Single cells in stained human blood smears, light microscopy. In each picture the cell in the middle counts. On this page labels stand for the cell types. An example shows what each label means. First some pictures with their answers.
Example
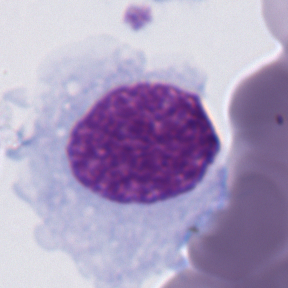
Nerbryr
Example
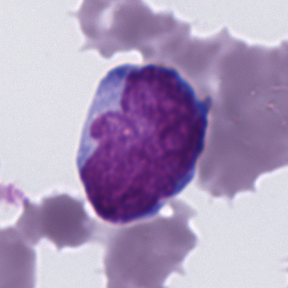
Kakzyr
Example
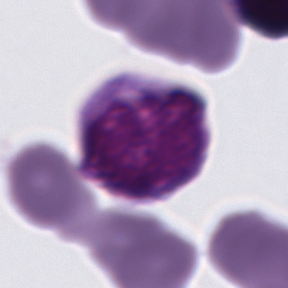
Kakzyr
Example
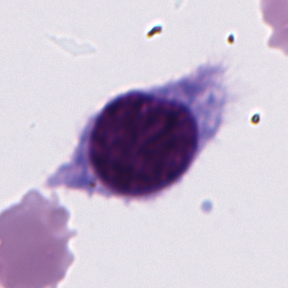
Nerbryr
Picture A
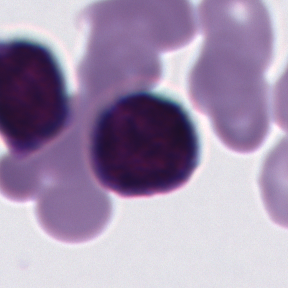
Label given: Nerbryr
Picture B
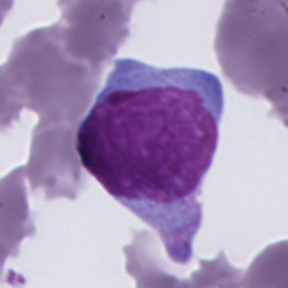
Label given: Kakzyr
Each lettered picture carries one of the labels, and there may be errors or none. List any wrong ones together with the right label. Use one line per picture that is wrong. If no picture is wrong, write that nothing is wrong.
A: Kakzyr, not Nerbryr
